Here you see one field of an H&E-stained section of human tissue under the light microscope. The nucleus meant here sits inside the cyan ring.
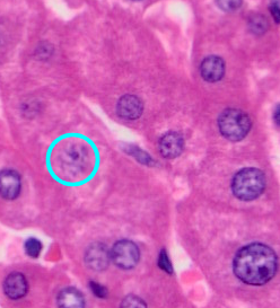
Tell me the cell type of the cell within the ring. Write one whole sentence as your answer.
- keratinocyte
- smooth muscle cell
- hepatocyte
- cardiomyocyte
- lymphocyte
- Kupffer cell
As far as its identity is concerned, the cell within the ring is a hepatocyte.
